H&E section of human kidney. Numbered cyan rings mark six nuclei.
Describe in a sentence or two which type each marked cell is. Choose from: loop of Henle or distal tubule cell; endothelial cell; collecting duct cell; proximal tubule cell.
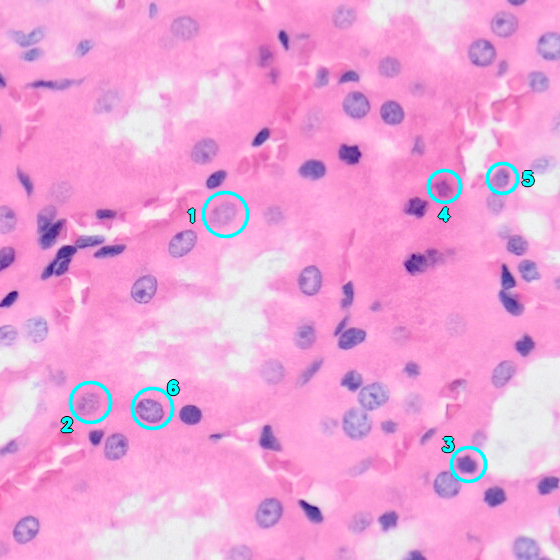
Cell 1 is a proximal tubule cell, cell 2 is a proximal tubule cell, cell 3 is a loop of Henle or distal tubule cell, cell 4 is a proximal tubule cell, cell 5 is a collecting duct cell and cell 6 is a proximal tubule cell.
